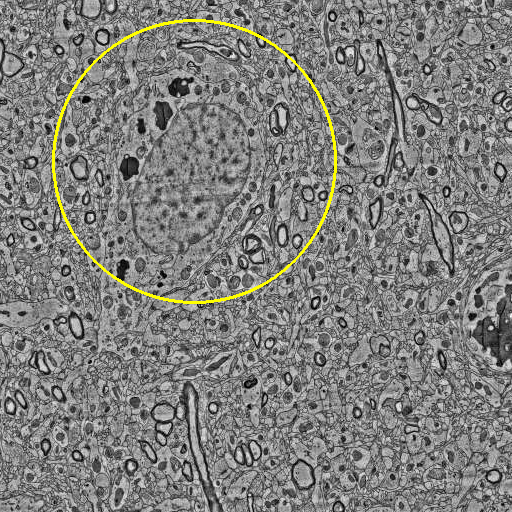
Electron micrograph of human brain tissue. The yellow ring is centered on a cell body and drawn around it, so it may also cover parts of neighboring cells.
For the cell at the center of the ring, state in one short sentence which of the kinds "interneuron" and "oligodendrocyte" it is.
This ring is centered on an interneuron.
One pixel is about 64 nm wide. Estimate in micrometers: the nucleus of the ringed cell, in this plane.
The nucleus of the ringed cell is clearly longer than it is wide in this plane, about 10 by 6 micrometres.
